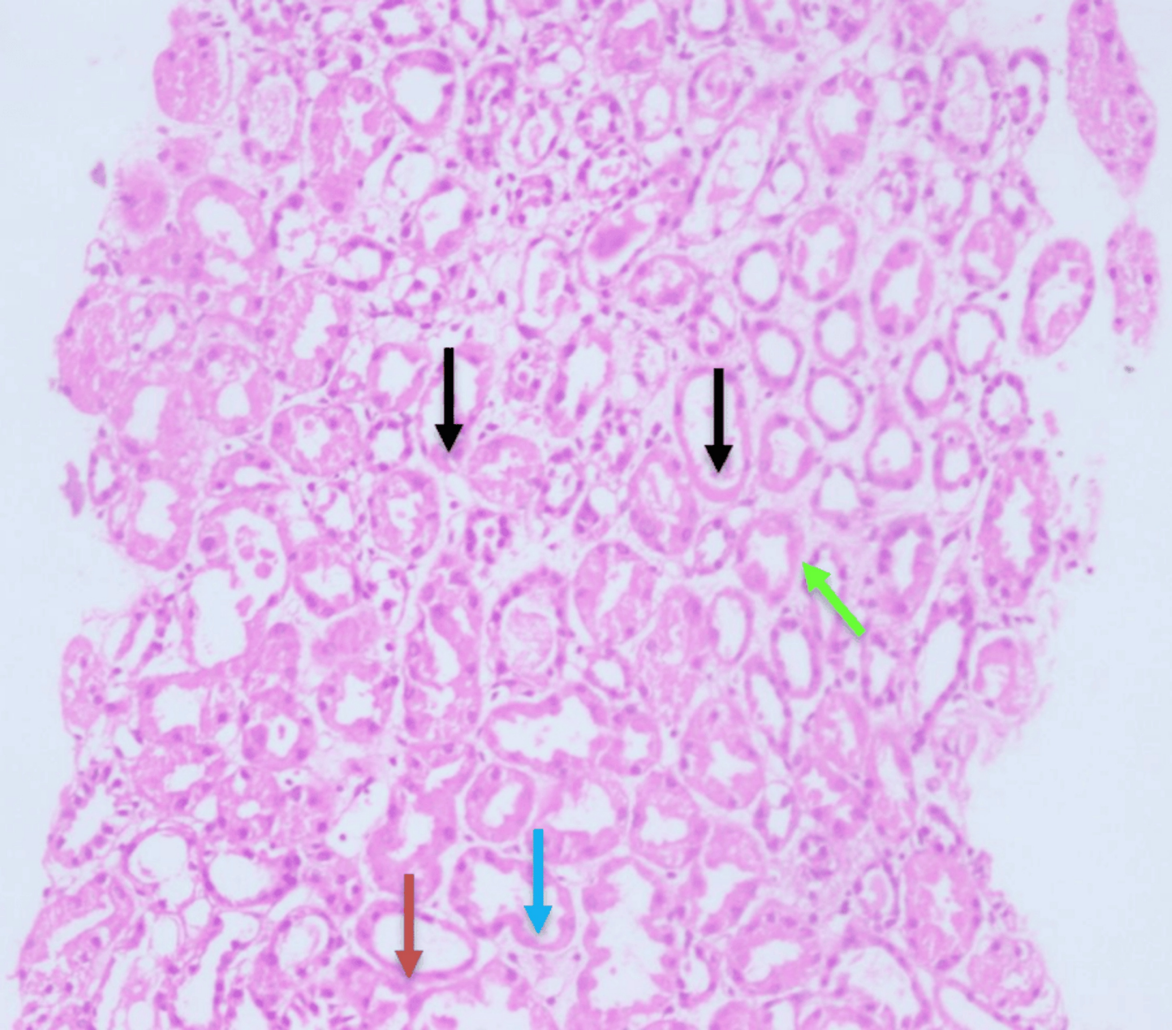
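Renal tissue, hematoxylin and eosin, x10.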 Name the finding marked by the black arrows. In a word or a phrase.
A: sloughing of tubular cells into the lumen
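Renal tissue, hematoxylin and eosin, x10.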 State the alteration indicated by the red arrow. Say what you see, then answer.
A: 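The red arrow points to a tubule with a wide, open lumen. The epithelial lining of that tubule is thin.
Tubular dilation.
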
